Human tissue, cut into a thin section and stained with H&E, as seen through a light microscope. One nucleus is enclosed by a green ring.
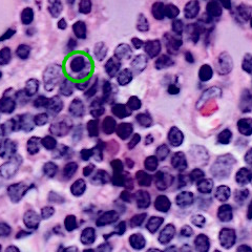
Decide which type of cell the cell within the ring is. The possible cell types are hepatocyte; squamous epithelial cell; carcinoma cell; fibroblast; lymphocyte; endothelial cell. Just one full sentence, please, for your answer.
In cell-type terms, the cell within the ring is a lymphocyte.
